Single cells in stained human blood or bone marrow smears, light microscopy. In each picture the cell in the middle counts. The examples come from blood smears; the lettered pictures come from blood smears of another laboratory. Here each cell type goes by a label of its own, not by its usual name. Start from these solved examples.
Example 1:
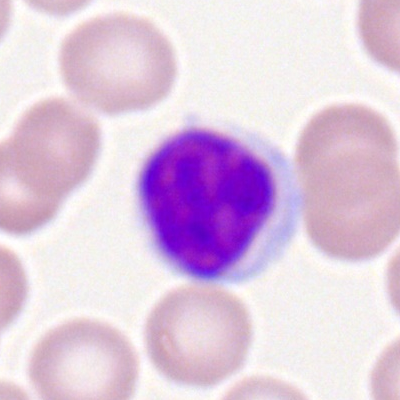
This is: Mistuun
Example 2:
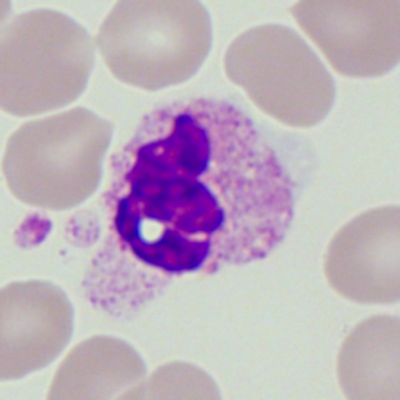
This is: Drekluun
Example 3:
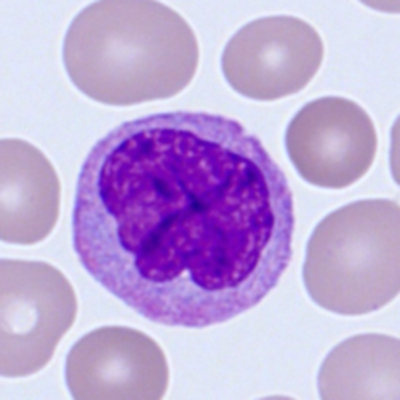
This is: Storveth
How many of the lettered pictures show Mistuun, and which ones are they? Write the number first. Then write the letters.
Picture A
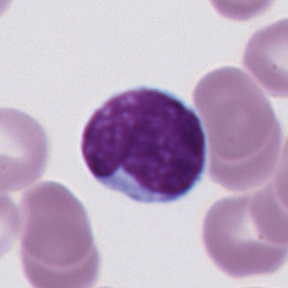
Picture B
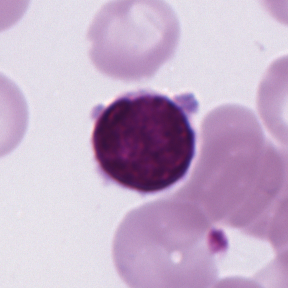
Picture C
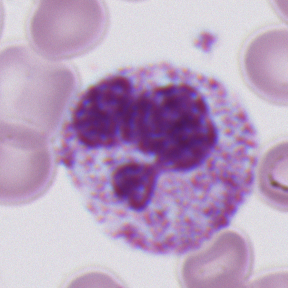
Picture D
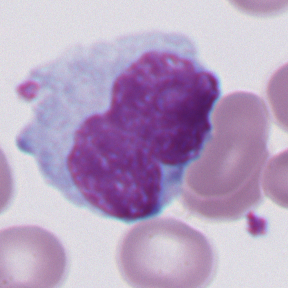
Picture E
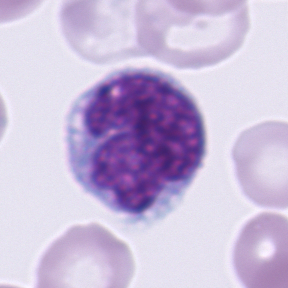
2: A, B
